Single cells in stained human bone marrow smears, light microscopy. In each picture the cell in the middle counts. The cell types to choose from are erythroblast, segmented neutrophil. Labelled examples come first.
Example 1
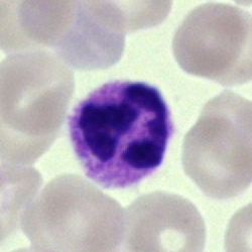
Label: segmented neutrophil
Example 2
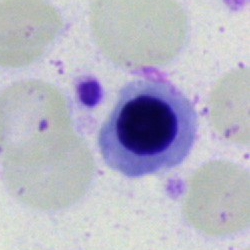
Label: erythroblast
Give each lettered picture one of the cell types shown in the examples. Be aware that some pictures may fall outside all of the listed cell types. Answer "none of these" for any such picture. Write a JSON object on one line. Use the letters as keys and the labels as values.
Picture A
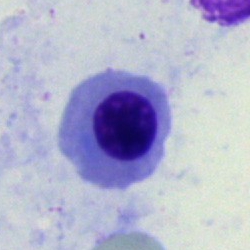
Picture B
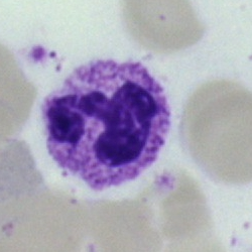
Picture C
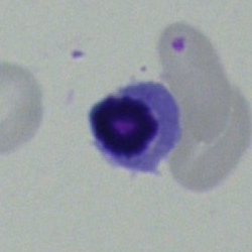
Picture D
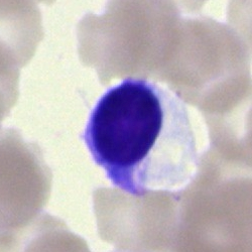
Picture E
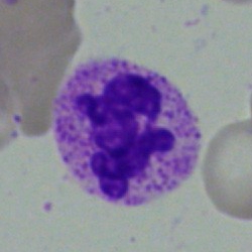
{"A": "erythroblast", "B": "segmented neutrophil", "C": "erythroblast", "D": "none of these", "E": "segmented neutrophil"}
